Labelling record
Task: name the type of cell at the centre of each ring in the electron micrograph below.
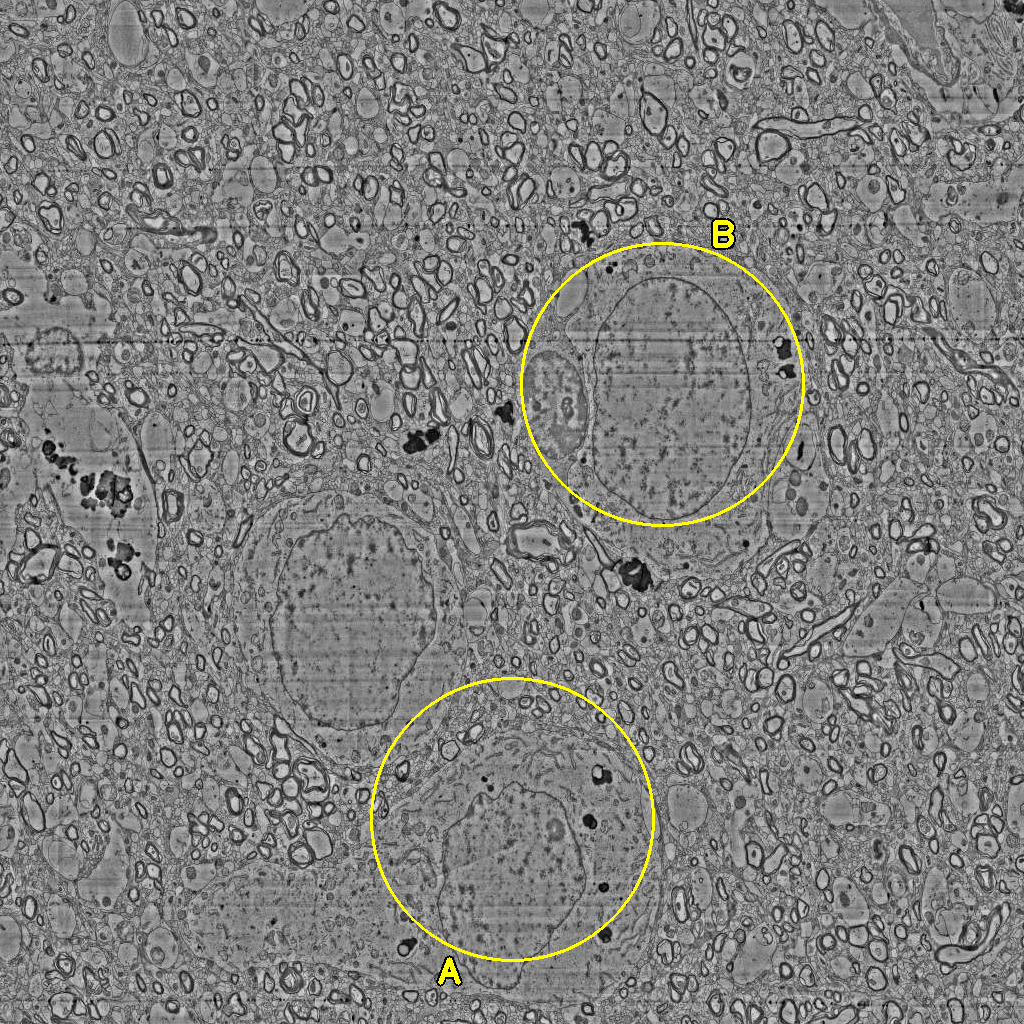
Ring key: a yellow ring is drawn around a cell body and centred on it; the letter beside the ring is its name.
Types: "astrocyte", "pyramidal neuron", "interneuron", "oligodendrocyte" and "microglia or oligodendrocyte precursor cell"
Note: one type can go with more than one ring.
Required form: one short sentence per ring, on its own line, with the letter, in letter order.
In ring A, the centred cell is a pyramidal neuron.
In ring B, the centred cell is a pyramidal neuron.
